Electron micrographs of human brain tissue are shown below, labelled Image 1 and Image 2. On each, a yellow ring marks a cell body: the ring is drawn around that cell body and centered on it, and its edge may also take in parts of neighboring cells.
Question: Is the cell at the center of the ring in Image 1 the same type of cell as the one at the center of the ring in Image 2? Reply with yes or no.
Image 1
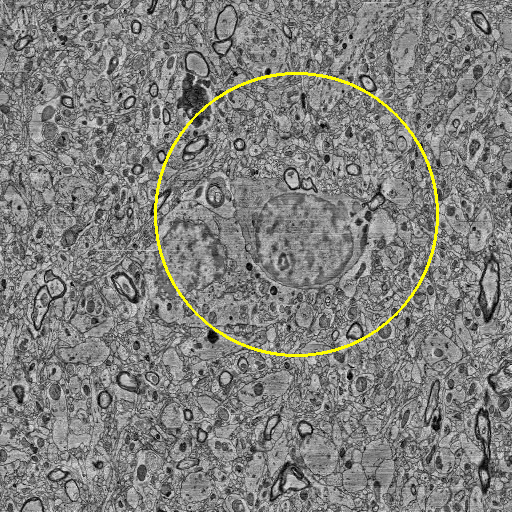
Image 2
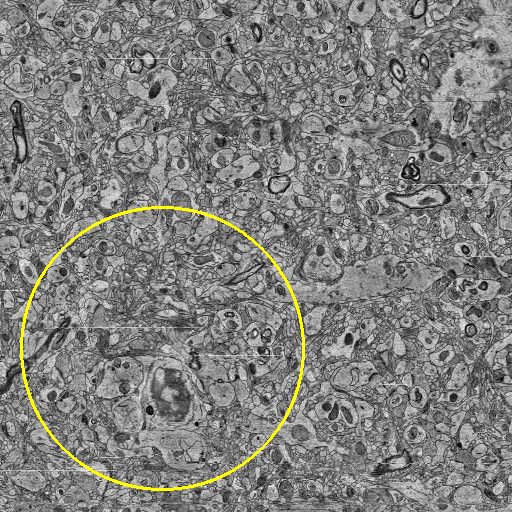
no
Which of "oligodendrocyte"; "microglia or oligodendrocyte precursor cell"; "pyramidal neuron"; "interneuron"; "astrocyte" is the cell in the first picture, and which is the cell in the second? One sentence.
The two differ: the first cell is an oligodendrocyte and the second is a microglial cell or oligodendrocyte precursor cell.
